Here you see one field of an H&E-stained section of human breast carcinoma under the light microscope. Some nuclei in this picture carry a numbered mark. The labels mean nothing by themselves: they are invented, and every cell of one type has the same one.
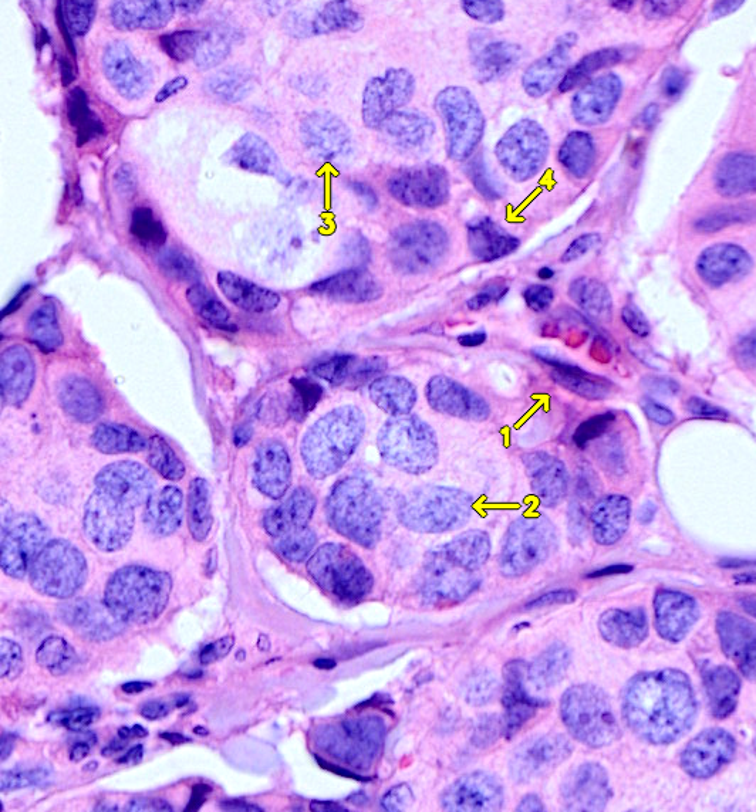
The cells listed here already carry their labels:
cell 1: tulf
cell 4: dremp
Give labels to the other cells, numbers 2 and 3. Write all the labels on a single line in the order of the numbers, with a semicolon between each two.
dremp; dremp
